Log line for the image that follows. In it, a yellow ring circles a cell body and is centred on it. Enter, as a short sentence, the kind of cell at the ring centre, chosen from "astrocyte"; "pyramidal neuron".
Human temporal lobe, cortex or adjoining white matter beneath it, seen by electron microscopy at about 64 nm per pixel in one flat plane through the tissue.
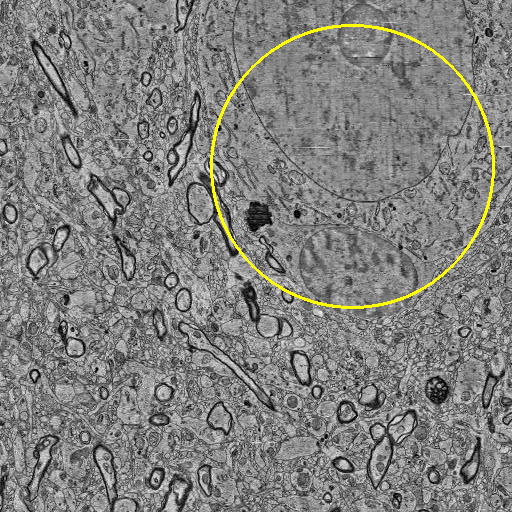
The ring centre is occupied by a pyramidal neuron.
